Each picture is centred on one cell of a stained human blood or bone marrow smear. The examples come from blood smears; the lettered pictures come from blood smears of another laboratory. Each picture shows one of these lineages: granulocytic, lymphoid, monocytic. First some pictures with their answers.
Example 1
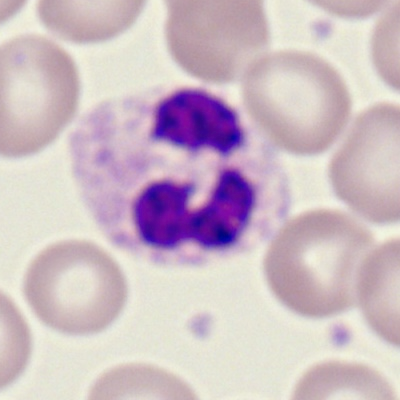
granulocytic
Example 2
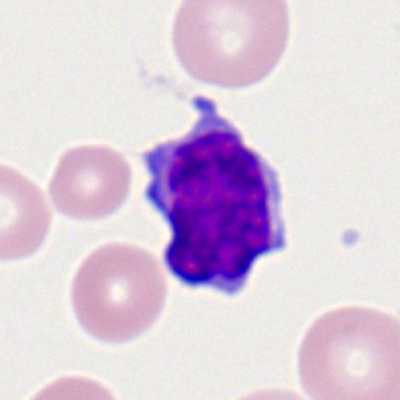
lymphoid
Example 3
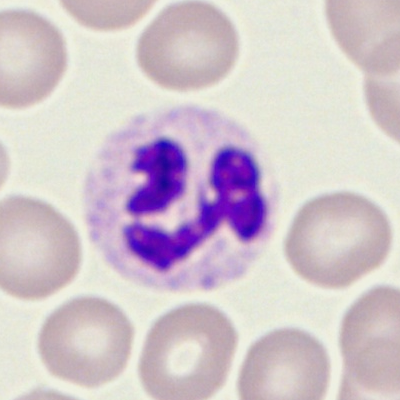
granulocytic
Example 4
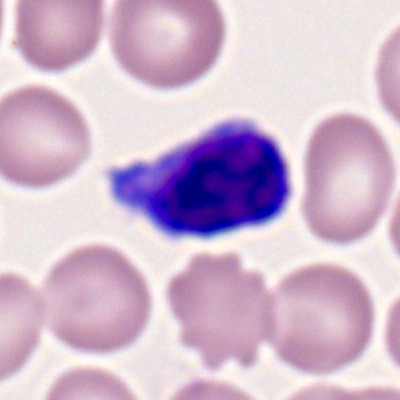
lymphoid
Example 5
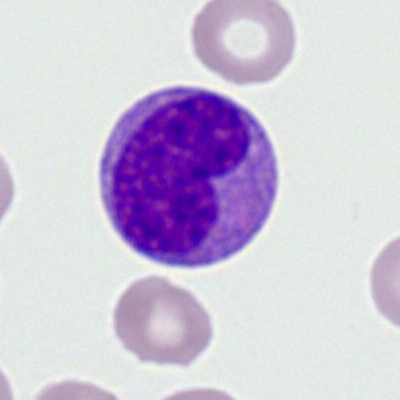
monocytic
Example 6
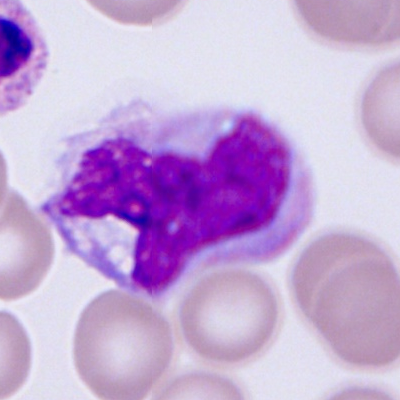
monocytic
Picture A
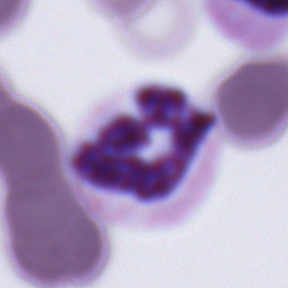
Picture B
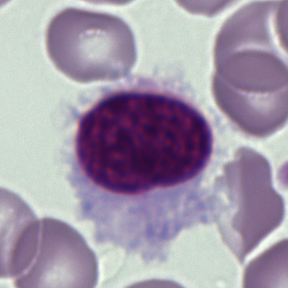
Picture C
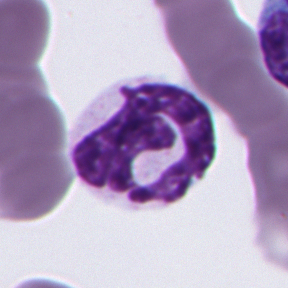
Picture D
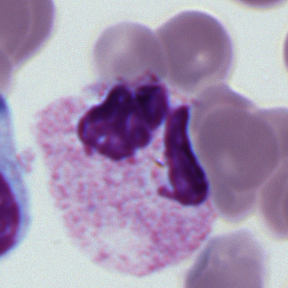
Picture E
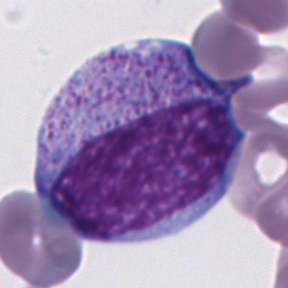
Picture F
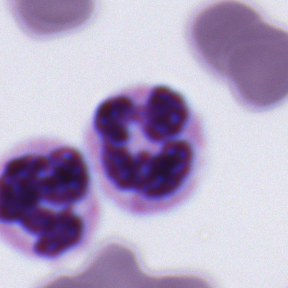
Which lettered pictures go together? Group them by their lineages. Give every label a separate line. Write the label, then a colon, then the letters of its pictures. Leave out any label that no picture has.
granulocytic: A, C, D, E, F
lymphoid: B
